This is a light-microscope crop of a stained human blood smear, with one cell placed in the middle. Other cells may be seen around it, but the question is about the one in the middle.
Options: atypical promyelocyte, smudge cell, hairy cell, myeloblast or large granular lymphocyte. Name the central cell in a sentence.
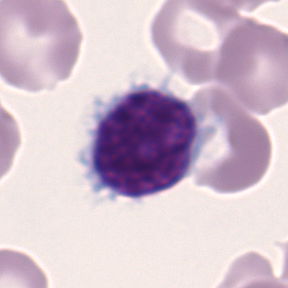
The central cell in this smear crop is a hairy cell.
